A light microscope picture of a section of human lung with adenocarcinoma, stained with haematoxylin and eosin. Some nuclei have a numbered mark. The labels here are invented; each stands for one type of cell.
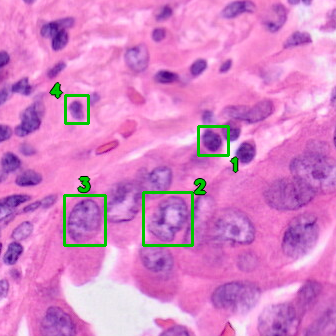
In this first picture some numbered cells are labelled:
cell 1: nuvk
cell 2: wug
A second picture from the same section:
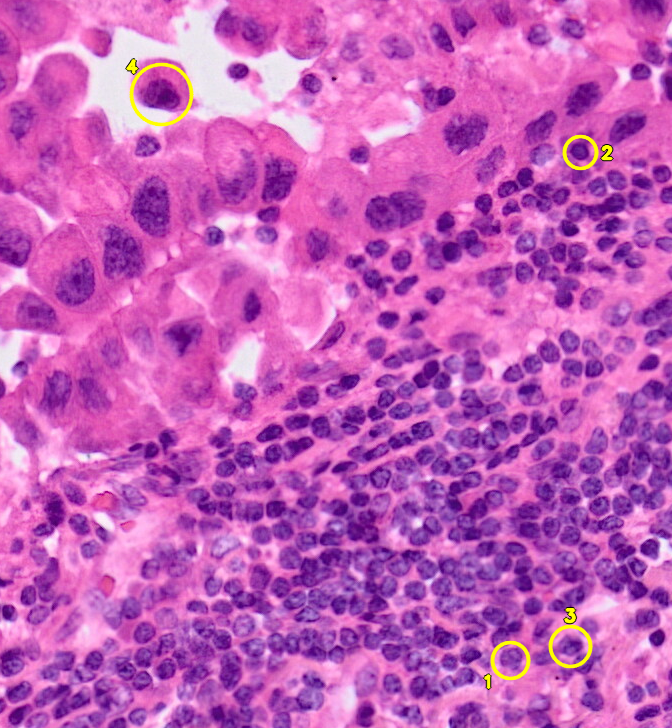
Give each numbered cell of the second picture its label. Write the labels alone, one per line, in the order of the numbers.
nuvk
nuvk
nuvk
wug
